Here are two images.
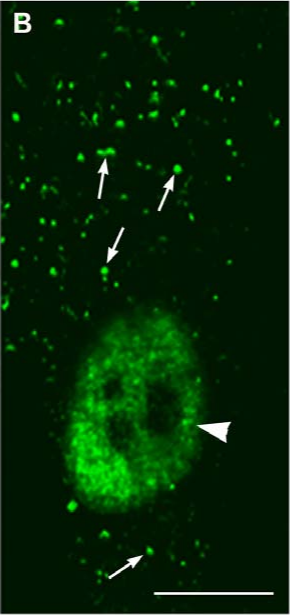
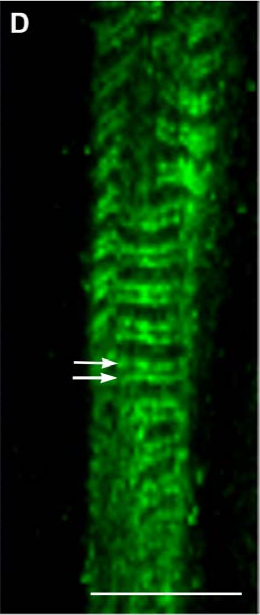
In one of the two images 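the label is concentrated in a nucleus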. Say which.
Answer: the first image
